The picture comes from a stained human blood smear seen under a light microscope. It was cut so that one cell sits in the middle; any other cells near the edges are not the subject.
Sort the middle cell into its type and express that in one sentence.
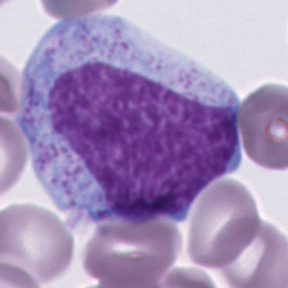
The identification for the central cell is a promyelocyte.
